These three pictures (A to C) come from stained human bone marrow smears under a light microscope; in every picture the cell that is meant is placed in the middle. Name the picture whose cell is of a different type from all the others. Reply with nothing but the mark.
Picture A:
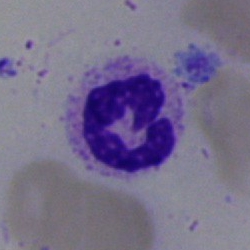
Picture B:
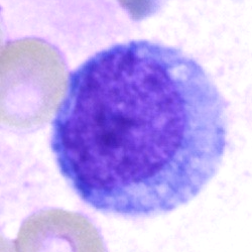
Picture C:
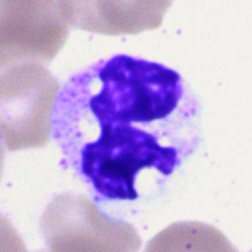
B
